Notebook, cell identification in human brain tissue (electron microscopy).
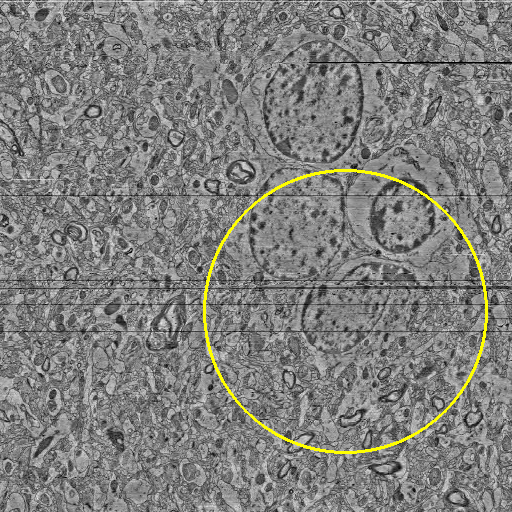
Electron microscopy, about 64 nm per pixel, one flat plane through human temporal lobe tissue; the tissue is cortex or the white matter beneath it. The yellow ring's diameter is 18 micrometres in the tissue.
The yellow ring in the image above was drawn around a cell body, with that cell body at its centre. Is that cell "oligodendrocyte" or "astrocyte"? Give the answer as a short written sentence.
The cell in the ring is an astrocyte.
